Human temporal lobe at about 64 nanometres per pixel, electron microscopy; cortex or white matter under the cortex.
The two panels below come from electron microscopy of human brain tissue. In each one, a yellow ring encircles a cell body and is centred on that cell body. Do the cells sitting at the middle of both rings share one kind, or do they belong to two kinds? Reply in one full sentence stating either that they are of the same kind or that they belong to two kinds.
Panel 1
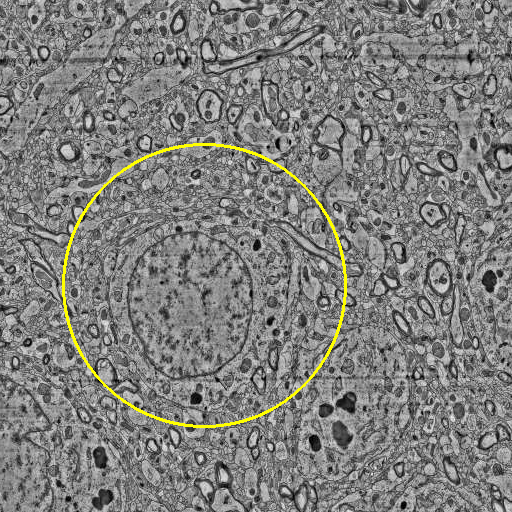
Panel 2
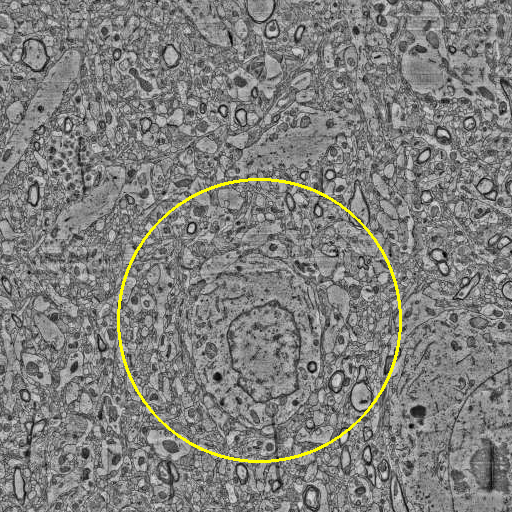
The cells at the centres of the two rings are of the same kind.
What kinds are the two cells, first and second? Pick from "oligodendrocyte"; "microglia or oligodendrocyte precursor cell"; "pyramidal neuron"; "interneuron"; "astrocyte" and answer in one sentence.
The second cell is a pyramidal neuron, just as the first is.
